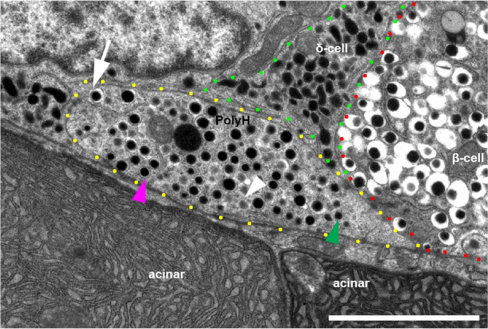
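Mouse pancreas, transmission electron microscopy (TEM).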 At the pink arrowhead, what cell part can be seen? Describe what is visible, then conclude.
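The pink arrowhead points to a round, uniformly dense granule with only a thin halo. So: α-granule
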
